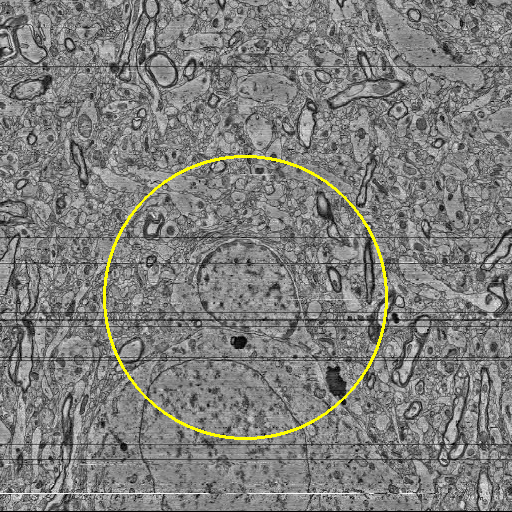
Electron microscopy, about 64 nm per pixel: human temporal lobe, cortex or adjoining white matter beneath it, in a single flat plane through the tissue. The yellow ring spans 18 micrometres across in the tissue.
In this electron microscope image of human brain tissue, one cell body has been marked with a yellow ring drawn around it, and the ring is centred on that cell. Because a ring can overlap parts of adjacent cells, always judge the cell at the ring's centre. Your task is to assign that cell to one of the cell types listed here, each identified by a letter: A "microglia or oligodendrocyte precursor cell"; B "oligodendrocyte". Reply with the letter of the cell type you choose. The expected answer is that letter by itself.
A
